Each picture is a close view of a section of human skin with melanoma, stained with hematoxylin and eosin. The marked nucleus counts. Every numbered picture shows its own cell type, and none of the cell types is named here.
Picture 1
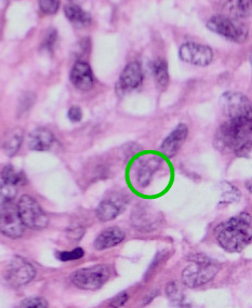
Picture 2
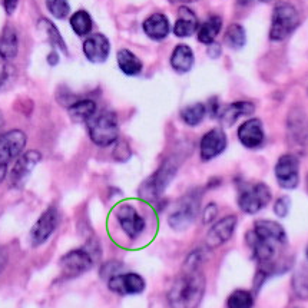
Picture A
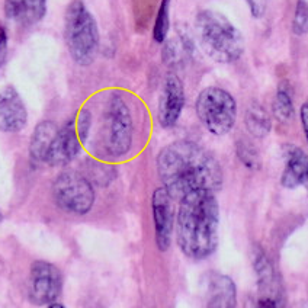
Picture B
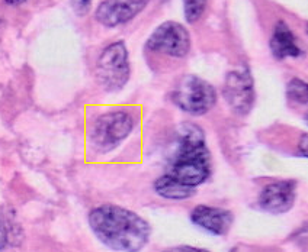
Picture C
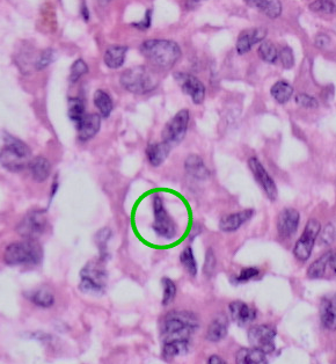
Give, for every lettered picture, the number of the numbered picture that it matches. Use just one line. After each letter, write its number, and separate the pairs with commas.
A 1, B 1, C 1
